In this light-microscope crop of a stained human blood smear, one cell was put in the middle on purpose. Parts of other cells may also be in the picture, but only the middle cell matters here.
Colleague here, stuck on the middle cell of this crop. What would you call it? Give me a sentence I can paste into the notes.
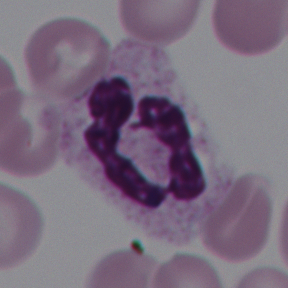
The centered cell in this crop is a segmented neutrophil.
